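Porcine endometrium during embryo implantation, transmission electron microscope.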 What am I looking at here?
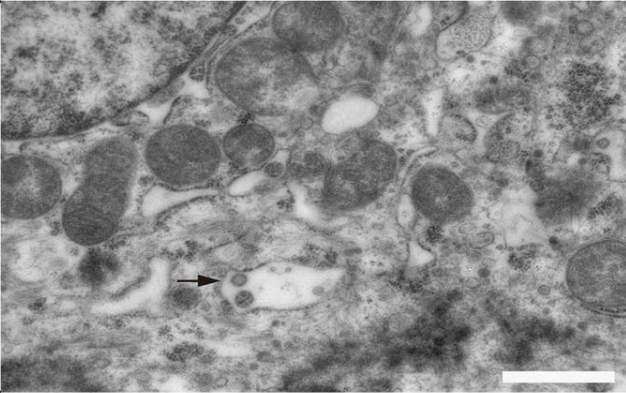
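At the upper left lies part of a nucleus, with finely granular chromatin bounded by a thin double envelope. Below it runs a row of round and oval mitochondria with dense matrix and faint cristae, one of them elongated. Between them are pale, irregular dilated membrane spaces, and the cytoplasm is dotted with dark clusters of ribosomes. An arrow points to a pair of small round membrane-bound vesicles at the edge of a pale space.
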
